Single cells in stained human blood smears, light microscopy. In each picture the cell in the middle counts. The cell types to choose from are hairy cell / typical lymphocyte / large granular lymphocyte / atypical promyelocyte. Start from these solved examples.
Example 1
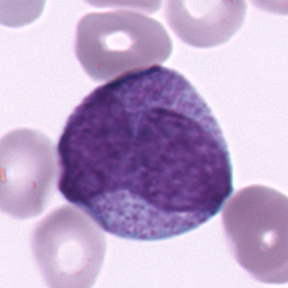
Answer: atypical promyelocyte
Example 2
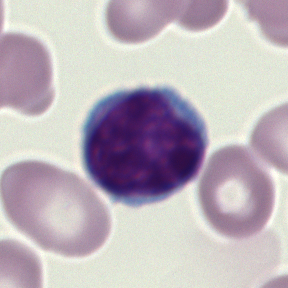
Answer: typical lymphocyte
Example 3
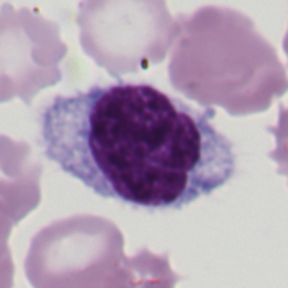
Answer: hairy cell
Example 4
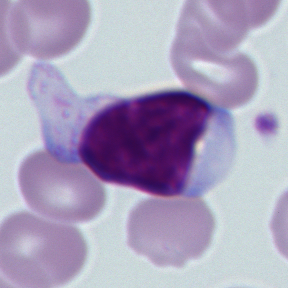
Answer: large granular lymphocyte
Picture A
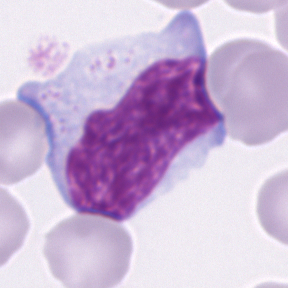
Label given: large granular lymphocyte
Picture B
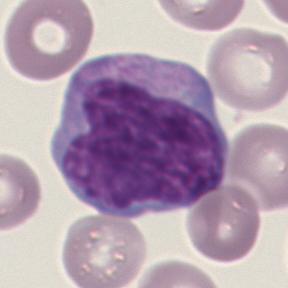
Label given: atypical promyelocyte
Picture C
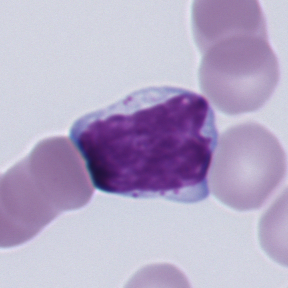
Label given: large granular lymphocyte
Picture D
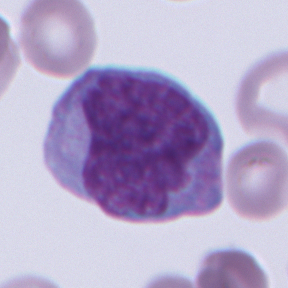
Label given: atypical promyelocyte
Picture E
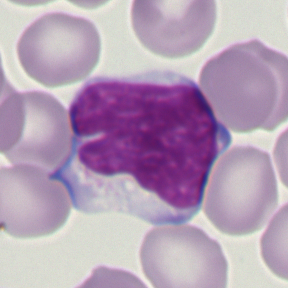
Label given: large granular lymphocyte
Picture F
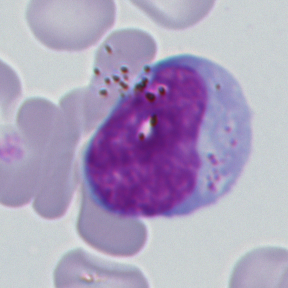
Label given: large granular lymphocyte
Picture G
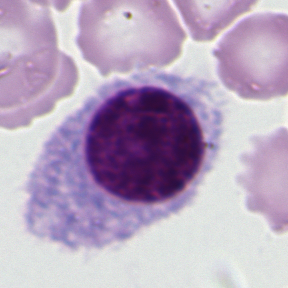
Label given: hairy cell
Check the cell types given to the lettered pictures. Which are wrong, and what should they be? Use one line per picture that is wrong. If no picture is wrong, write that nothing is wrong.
All labels are correct.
